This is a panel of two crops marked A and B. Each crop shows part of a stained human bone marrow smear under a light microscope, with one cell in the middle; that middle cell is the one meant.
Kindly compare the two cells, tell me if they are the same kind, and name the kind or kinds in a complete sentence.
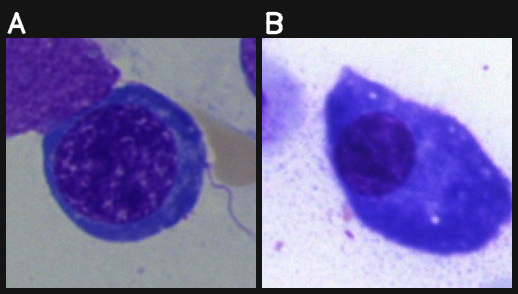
No, at the centre of crop A is a normoblast, and at the centre of crop B is a plasma cell.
